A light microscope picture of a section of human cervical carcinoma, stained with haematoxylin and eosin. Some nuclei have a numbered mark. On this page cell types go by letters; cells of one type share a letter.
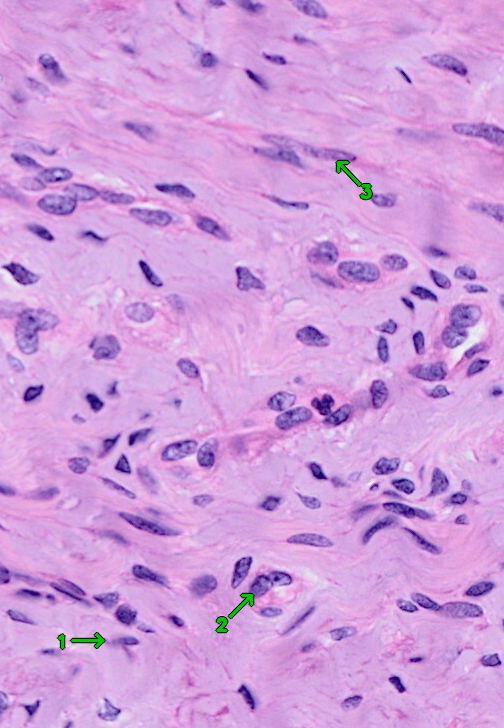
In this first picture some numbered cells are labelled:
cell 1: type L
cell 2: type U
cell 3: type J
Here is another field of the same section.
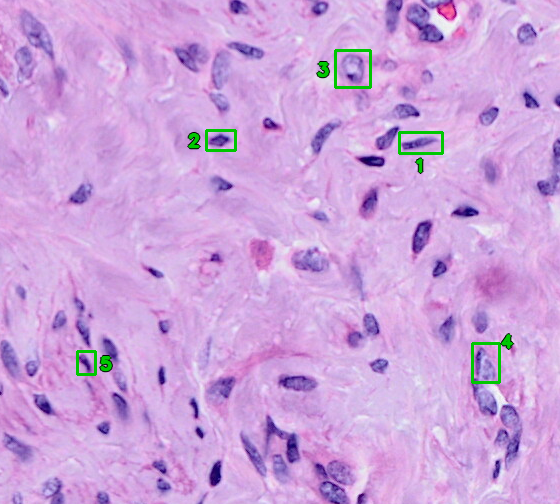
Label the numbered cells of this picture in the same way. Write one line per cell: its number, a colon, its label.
1: type L
2: type L
3: type U
4: type U
5: type J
